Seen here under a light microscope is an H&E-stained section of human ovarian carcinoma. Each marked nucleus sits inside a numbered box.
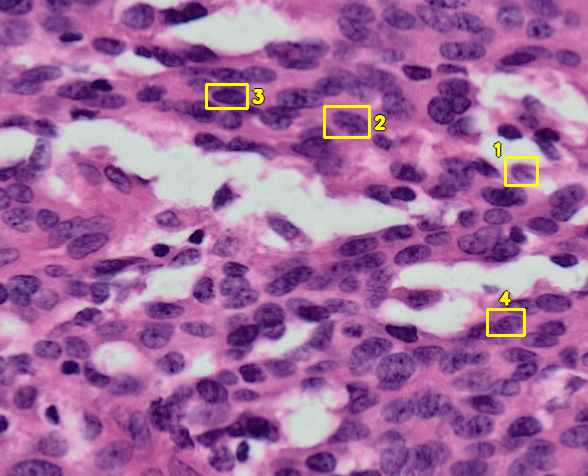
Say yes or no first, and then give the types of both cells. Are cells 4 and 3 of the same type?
Yes, both are carcinoma cells.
